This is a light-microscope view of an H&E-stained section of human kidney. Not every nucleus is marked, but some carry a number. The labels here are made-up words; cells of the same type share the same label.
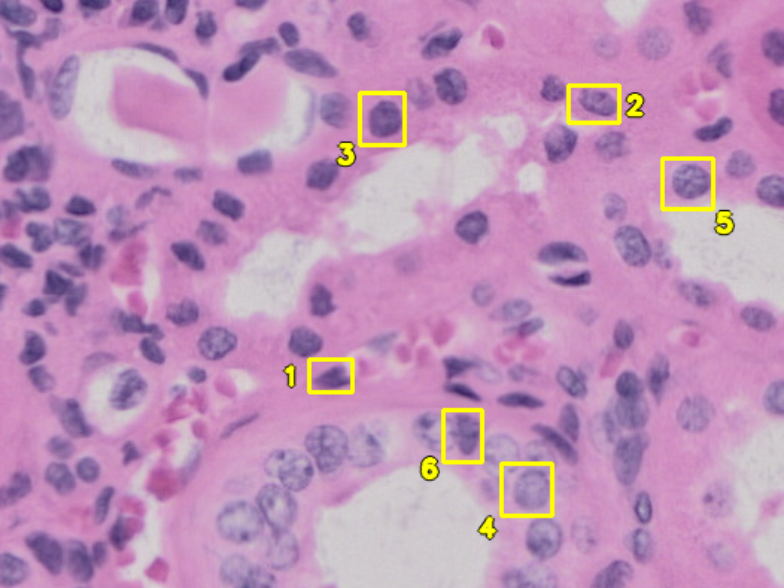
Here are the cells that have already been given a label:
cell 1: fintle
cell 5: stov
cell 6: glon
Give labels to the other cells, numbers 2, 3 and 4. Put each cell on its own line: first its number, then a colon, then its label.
2: stov
3: stov
4: glon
